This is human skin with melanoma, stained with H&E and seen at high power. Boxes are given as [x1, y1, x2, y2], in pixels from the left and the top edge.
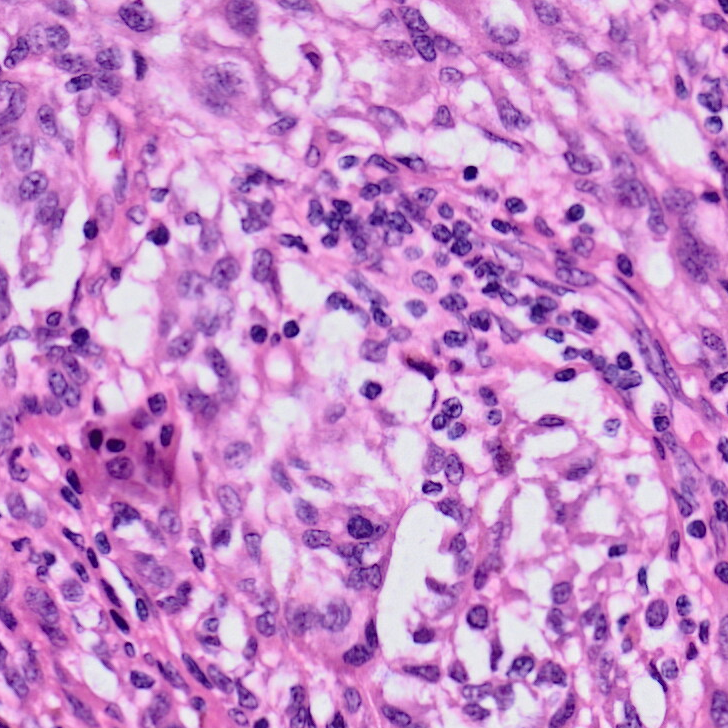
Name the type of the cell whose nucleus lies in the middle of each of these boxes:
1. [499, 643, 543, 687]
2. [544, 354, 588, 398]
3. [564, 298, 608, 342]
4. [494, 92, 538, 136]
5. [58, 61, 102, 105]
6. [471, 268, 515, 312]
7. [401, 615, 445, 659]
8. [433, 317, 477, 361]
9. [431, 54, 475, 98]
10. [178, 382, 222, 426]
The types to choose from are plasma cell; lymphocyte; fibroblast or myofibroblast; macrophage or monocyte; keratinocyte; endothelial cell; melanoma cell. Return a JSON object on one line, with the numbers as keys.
{"1": "melanoma cell", "2": "lymphocyte", "3": "lymphocyte", "4": "melanoma cell", "5": "lymphocyte", "6": "lymphocyte", "7": "melanoma cell", "8": "lymphocyte", "9": "melanoma cell", "10": "melanoma cell"}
